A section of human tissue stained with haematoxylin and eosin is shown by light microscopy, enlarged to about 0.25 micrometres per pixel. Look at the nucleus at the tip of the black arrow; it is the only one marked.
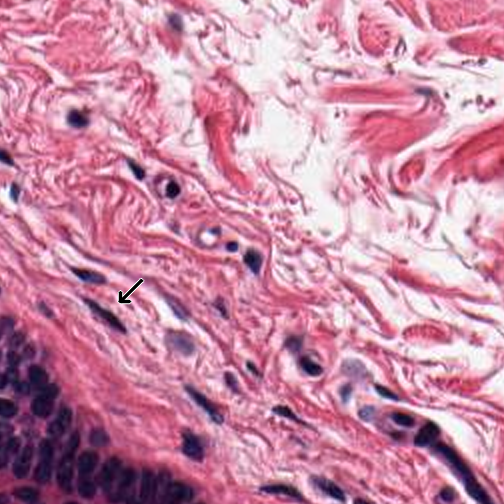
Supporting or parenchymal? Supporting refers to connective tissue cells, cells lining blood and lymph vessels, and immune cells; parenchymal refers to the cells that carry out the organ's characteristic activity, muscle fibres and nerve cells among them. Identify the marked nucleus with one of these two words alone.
supporting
